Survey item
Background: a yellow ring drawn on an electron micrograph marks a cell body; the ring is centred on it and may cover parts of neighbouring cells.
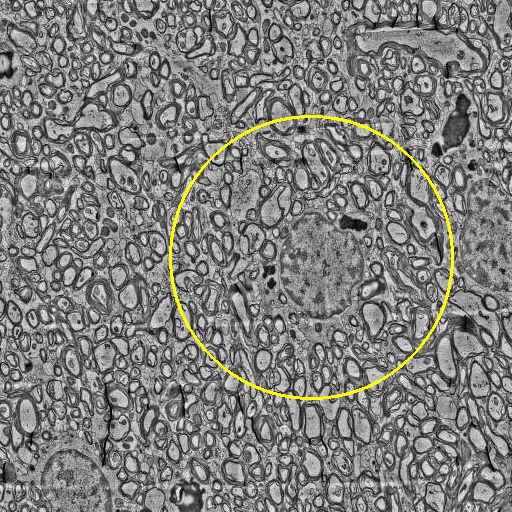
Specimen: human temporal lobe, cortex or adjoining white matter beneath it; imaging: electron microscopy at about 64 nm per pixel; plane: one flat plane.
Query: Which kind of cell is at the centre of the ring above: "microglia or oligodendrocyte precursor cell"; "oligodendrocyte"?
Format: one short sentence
The cell in the middle of the ring is an oligodendrocyte.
